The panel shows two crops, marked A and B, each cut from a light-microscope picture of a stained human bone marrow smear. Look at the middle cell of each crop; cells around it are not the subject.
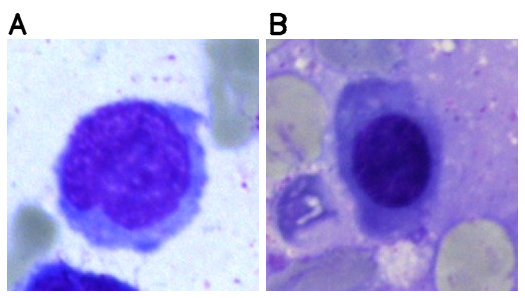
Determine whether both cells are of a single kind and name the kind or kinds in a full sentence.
No, crop A is to be identified as a blast and crop B as an erythroblast.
